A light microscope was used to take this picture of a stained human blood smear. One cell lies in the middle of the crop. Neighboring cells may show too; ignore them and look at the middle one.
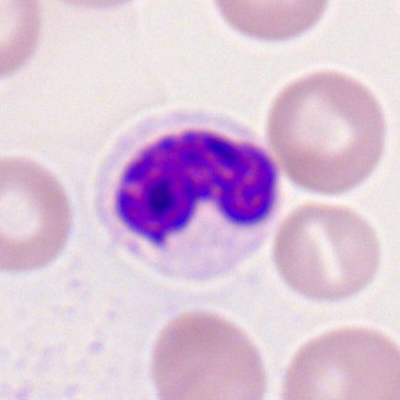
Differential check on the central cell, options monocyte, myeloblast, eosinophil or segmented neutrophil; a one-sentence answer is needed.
The cell of interest, in the center, is a segmented neutrophil.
